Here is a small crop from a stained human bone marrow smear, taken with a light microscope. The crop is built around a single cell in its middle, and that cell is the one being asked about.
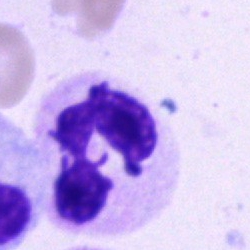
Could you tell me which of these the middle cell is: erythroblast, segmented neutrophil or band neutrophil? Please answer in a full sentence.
The cell featured at the centre of this crop is a segmented neutrophil.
